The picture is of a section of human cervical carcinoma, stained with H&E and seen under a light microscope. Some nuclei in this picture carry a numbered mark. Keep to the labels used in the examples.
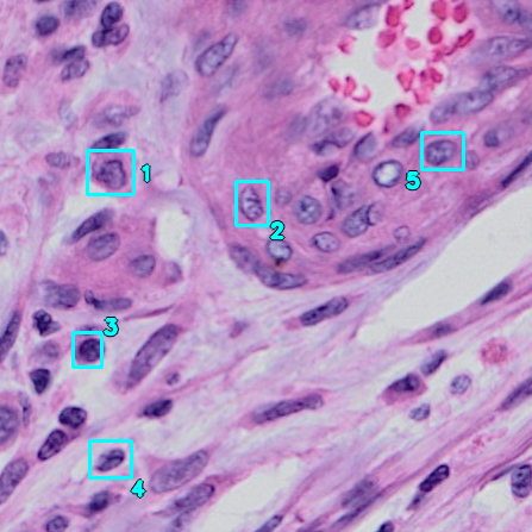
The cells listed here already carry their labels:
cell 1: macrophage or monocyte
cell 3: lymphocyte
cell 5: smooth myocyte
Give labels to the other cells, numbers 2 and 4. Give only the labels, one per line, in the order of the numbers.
smooth myocyte
lymphocyte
